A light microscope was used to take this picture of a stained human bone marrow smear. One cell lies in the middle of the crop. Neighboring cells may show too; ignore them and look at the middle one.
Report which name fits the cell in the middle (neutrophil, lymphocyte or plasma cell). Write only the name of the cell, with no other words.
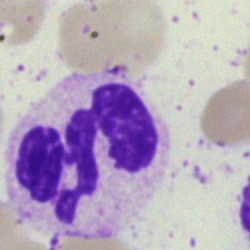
neutrophil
